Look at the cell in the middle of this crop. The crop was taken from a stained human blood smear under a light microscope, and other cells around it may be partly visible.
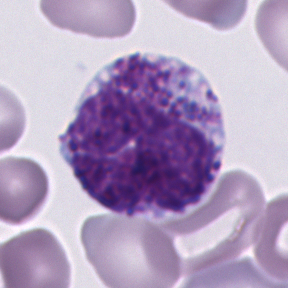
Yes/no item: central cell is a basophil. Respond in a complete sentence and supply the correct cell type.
Yes, the cell in the exact middle is a basophil.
